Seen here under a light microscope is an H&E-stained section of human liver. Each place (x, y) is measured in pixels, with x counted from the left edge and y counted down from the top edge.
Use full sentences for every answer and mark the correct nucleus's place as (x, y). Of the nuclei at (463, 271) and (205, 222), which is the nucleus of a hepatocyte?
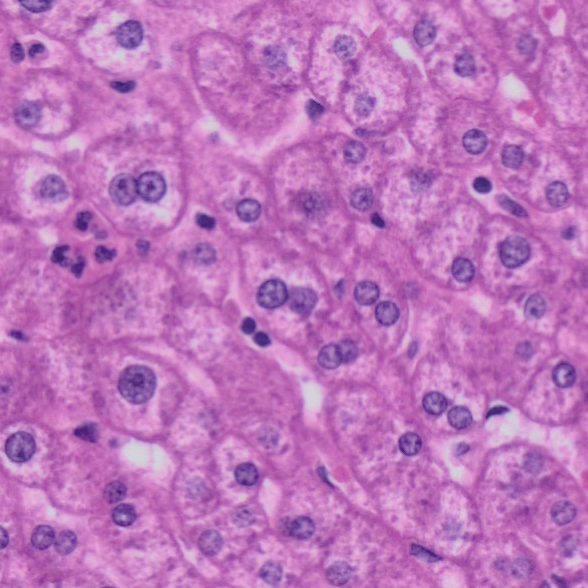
That would be the nucleus at (463, 271); it belongs to a hepatocyte.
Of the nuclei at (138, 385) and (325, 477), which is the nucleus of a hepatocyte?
The nucleus positioned at (138, 385) forms part of a hepatocyte.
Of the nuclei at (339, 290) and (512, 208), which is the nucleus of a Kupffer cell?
Housed in a Kupffer cell is the nucleus at (512, 208), not the other one.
